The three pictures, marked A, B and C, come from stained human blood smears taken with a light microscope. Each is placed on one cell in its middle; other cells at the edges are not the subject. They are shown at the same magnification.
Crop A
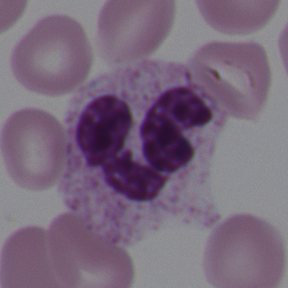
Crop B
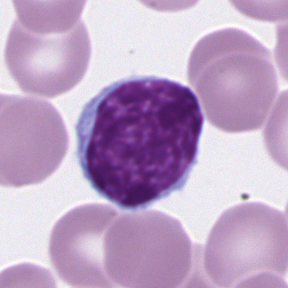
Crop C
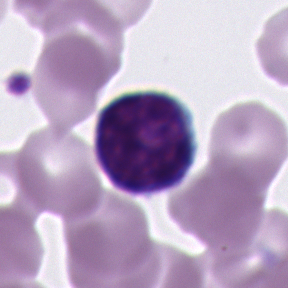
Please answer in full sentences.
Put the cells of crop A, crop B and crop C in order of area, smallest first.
From the smallest up, the order is C, B, A.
